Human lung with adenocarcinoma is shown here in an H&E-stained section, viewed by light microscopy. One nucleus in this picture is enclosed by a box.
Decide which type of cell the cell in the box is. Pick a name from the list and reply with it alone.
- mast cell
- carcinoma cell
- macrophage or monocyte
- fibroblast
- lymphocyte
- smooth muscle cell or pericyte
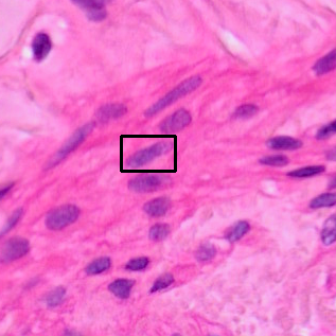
smooth muscle cell or pericyte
